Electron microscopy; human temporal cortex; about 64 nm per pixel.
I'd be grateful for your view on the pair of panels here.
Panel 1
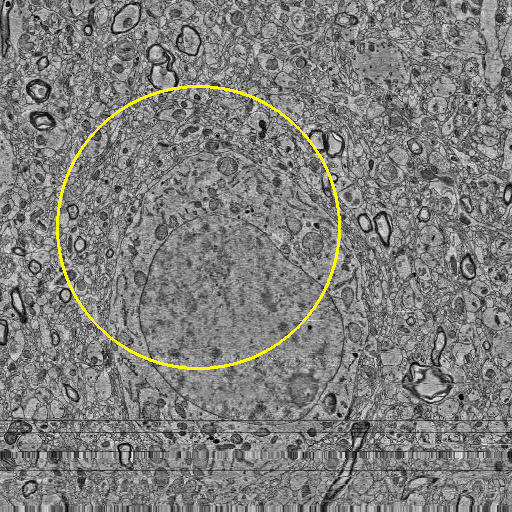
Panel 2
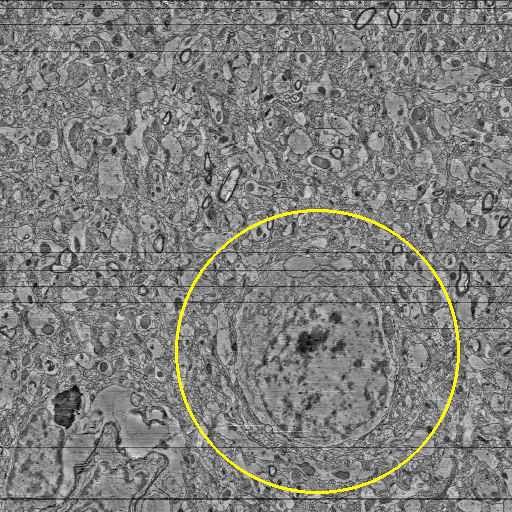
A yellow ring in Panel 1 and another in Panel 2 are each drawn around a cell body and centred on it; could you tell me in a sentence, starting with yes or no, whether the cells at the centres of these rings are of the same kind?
Yes, they are the same kind of cell.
